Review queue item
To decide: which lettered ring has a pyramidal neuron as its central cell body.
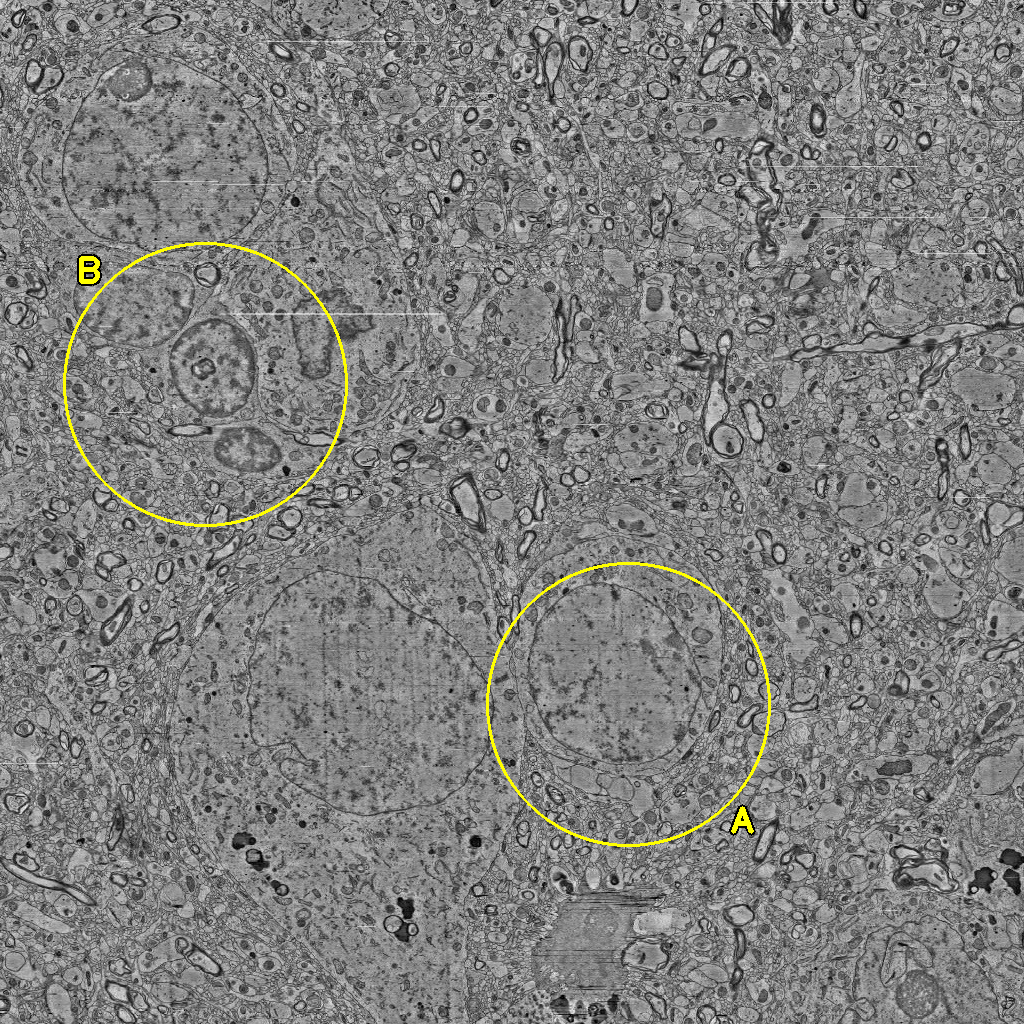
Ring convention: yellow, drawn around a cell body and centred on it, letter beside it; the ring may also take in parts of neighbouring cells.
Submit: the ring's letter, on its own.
A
